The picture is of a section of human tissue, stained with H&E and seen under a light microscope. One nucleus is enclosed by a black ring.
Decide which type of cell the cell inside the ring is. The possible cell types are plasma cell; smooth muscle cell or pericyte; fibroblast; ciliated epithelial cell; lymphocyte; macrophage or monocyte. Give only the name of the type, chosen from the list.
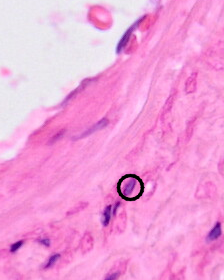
smooth muscle cell or pericyte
